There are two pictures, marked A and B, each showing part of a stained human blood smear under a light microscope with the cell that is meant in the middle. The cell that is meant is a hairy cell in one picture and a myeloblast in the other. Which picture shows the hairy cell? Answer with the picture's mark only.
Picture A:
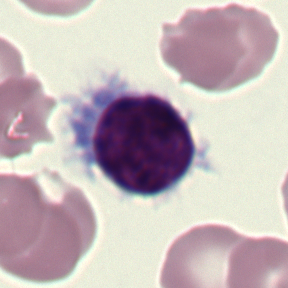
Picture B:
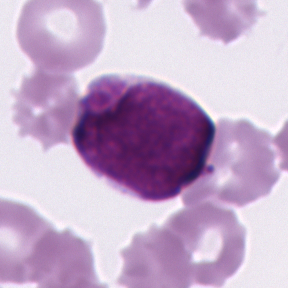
A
